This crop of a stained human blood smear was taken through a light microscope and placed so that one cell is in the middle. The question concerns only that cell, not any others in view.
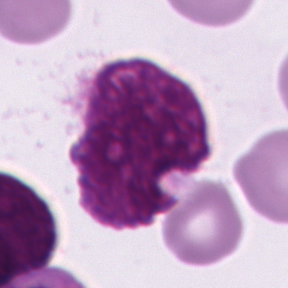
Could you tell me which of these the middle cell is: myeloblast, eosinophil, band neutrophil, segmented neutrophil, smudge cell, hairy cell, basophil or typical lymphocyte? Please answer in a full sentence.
As for the central cell, it is a smudge cell.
